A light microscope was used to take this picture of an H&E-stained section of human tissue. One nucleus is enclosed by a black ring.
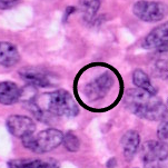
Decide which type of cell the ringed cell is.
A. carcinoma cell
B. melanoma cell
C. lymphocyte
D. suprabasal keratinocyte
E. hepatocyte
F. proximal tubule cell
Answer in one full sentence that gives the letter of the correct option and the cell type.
Exactly as option B gives it, the ringed cell is a melanoma cell.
